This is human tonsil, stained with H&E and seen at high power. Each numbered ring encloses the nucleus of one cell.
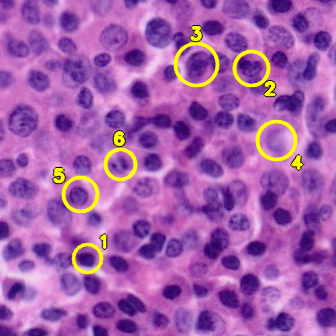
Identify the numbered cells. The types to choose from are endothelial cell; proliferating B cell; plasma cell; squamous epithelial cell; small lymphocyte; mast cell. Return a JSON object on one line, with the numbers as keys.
{"1": "plasma cell", "2": "plasma cell", "3": "squamous epithelial cell", "4": "squamous epithelial cell", "5": "plasma cell", "6": "plasma cell"}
